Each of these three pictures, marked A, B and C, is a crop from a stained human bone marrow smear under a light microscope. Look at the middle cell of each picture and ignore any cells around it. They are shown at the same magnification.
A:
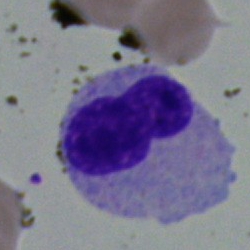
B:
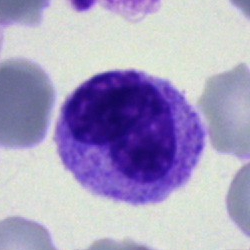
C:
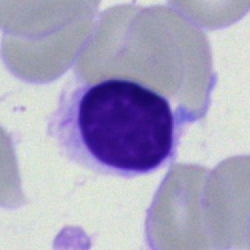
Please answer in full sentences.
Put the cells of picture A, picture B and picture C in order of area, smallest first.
Smallest first: C, B, A.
